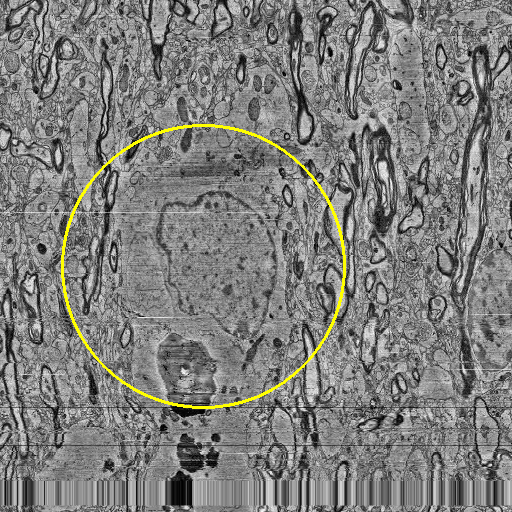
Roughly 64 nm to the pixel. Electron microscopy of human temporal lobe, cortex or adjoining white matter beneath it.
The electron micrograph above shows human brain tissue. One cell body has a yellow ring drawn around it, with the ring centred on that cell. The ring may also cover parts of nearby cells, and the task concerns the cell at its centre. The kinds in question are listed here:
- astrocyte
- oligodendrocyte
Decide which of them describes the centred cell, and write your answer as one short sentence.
The centred cell is an astrocyte.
